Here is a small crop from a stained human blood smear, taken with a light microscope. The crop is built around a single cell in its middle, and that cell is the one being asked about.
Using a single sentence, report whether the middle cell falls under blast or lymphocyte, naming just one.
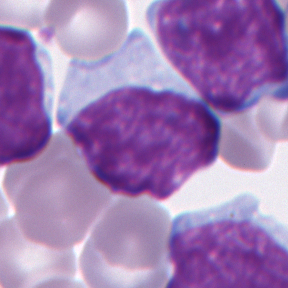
In the centre of this crop there is a lymphocyte.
